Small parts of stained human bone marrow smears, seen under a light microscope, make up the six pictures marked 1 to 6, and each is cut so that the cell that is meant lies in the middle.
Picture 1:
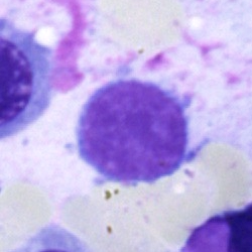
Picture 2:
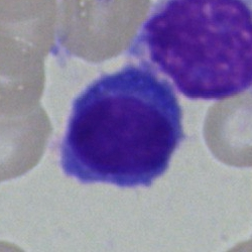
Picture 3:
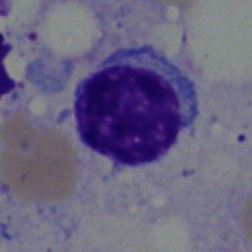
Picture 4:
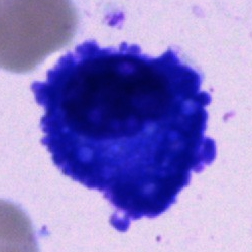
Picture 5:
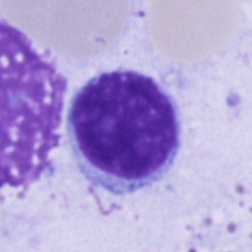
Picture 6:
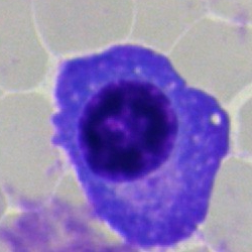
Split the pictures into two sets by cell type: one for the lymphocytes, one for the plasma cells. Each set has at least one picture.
1: lymphocyte
2: plasma cell
3: lymphocyte
4: plasma cell
5: lymphocyte
6: plasma cell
